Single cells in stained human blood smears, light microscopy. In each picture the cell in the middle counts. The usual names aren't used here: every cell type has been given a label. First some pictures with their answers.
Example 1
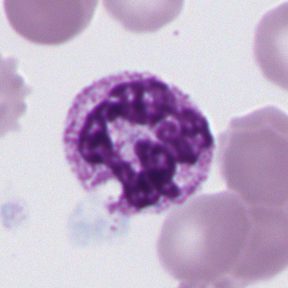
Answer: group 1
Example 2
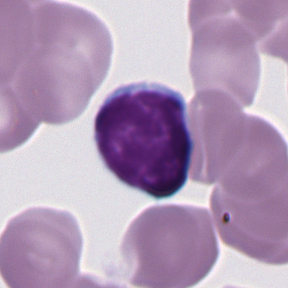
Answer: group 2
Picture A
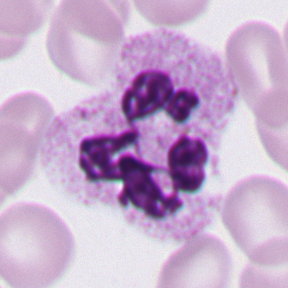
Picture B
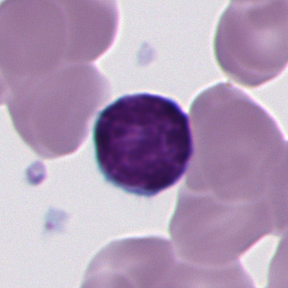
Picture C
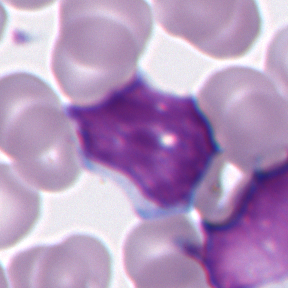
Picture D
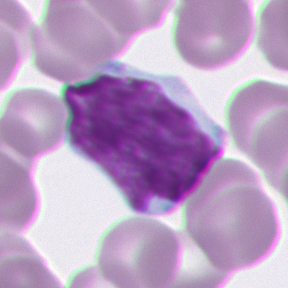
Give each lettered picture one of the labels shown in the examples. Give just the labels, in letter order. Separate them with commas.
group 1, group 2, group 2, group 2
